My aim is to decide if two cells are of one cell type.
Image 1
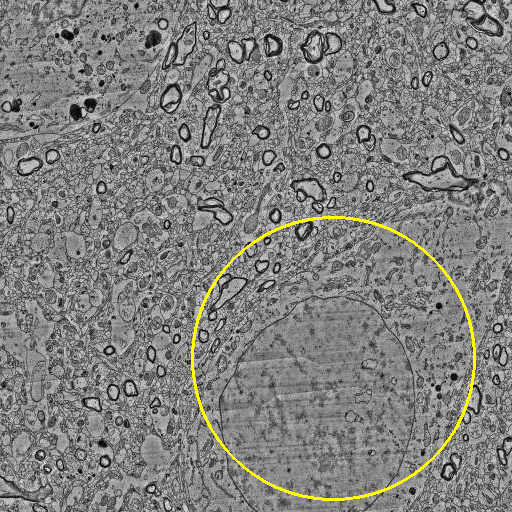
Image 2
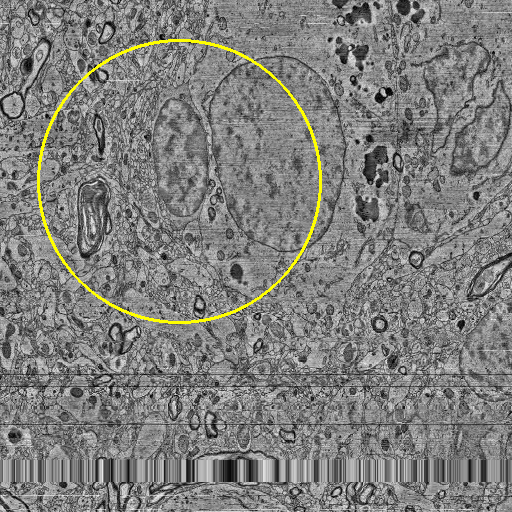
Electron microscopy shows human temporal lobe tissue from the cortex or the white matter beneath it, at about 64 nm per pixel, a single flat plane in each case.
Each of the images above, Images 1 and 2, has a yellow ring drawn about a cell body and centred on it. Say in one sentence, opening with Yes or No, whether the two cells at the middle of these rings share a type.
No, in Images 1 and 2 the cells at the middle of the rings fall into two types.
